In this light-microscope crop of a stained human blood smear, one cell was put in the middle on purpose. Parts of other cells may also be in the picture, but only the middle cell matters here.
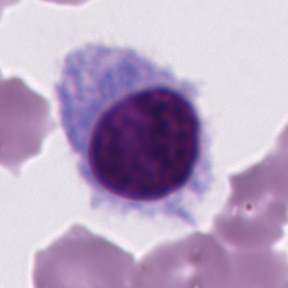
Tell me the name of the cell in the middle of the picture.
hairy cell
